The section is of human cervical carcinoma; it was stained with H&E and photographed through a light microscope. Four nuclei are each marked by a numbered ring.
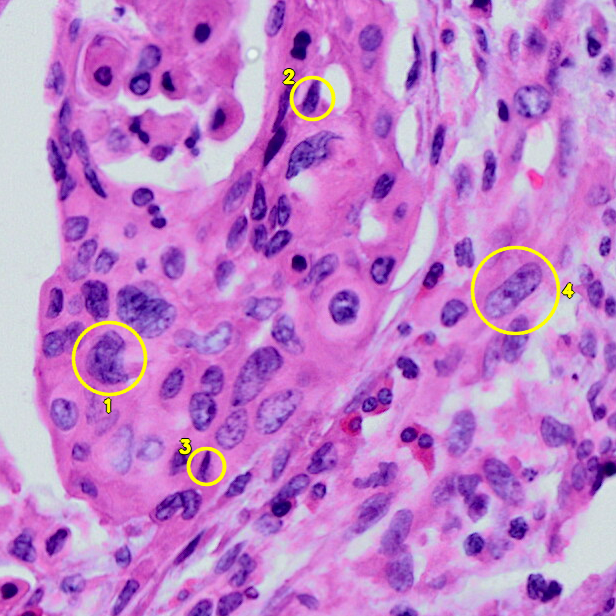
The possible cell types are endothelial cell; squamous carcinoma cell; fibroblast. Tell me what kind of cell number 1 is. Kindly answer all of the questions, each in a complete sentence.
The nucleus labelled 1 belongs to a squamous carcinoma cell.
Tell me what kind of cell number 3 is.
Here the cell numbered 3 is a squamous carcinoma cell.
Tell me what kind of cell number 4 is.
The one labeled 4 is an endothelial cell, to put it simply.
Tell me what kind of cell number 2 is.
To a squamous carcinoma cell belongs the nucleus marked 2.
